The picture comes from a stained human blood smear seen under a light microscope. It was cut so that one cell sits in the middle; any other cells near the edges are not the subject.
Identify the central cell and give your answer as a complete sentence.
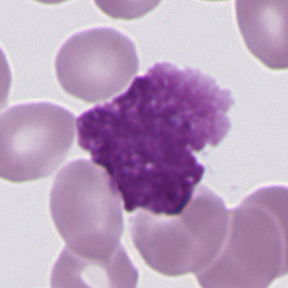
The cell around which this crop is centred is a smudge cell.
